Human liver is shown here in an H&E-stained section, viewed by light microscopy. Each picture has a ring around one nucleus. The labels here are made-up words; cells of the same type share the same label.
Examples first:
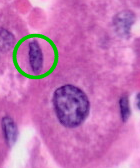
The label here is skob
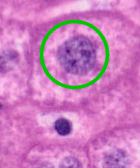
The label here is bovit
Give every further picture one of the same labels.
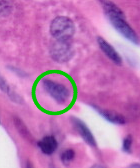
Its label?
skob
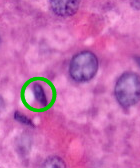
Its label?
skob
